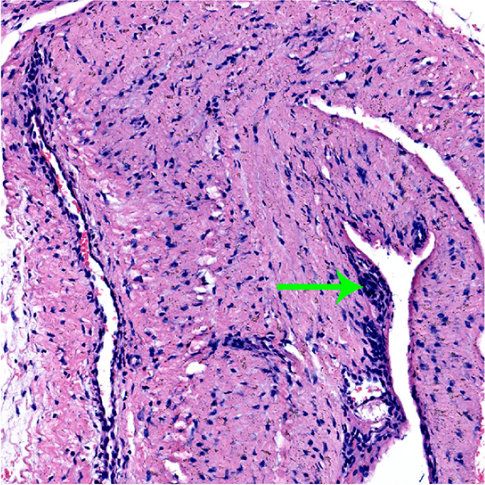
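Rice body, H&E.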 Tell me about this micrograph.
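This is dense fibrous tissue with many elongated, spindle-shaped nuclei lying in wavy pink strands. At the edge of one cleft, small dark nuclei crowd together more densely, consistent with inflammatory cells infiltrating the tissue.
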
